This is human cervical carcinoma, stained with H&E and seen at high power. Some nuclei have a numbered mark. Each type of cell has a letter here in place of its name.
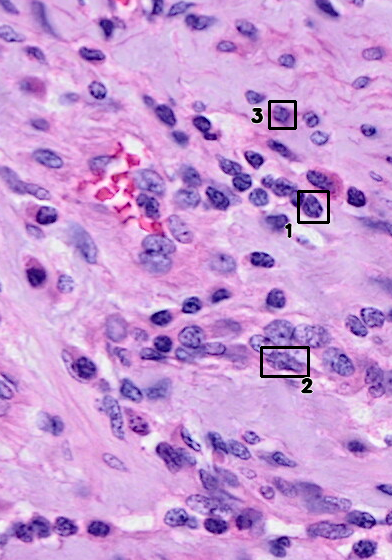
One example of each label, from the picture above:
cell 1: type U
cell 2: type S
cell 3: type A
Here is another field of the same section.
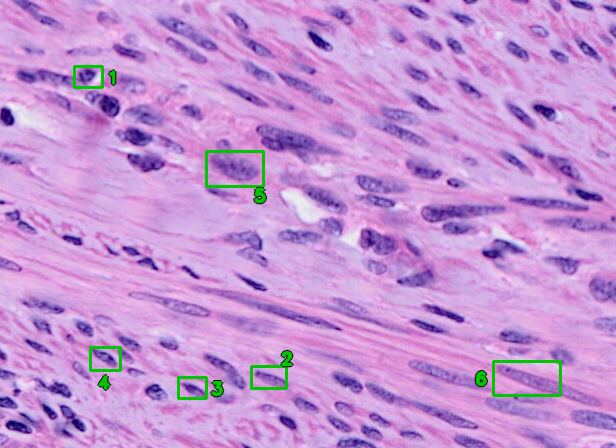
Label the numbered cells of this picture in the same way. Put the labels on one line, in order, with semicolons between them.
type U; type A; type A; type A; type S; type A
